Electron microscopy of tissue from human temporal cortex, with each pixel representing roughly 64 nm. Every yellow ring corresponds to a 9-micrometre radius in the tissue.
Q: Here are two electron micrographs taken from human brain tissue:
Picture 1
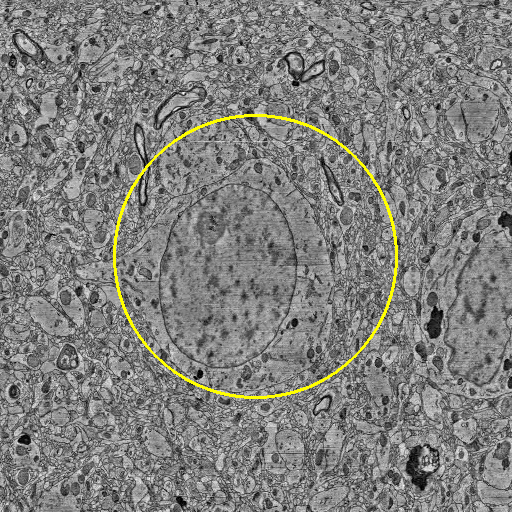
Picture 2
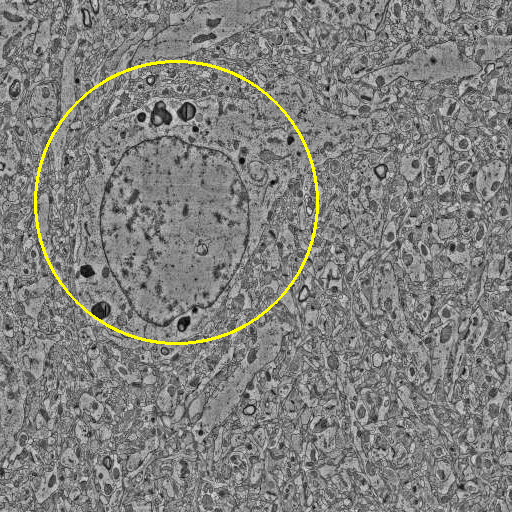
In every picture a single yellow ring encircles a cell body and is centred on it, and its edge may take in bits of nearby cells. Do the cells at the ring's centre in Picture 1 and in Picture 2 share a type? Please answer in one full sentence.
Yes, the cells at the ring's centre in Picture 1 and Picture 2 share a type.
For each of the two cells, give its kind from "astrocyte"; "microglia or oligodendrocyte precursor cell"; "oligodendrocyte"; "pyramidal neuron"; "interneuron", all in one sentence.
Each cell, in the first picture and the second, is a pyramidal neuron.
